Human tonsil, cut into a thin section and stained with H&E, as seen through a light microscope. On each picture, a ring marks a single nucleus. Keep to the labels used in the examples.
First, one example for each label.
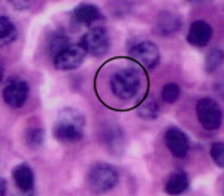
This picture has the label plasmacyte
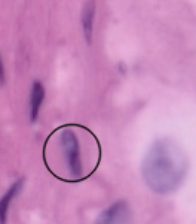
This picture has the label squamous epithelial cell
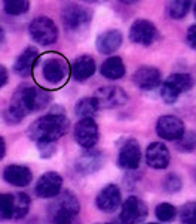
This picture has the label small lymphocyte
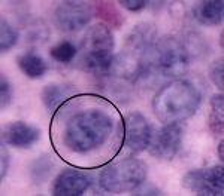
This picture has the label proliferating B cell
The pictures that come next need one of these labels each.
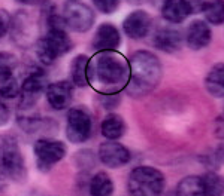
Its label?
small lymphocyte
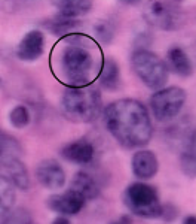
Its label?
proliferating B cell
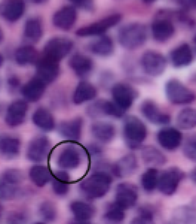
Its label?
small lymphocyte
